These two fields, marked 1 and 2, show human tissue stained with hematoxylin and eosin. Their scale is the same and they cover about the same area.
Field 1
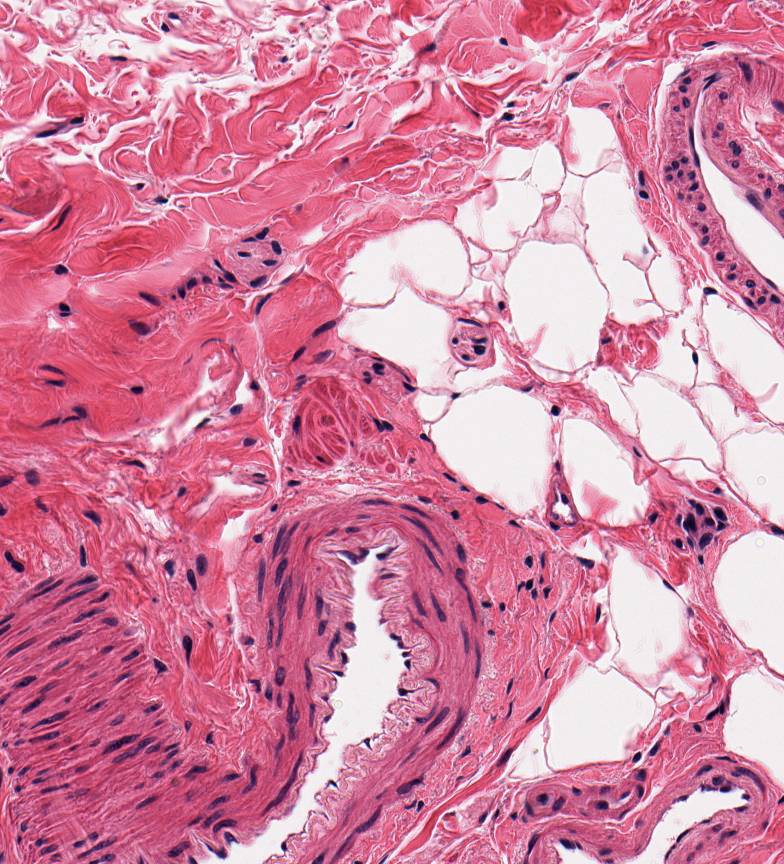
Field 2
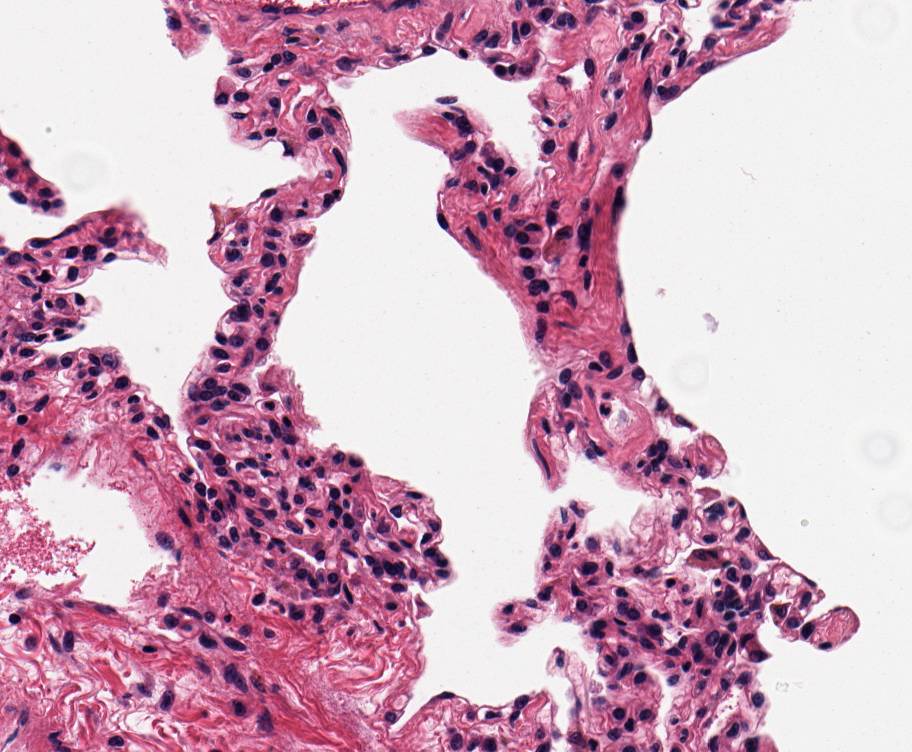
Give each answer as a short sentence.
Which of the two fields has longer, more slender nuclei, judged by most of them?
It is field 1 whose nuclei are the more elongated.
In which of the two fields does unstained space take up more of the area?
It is field 2 in which white space covers the larger part.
